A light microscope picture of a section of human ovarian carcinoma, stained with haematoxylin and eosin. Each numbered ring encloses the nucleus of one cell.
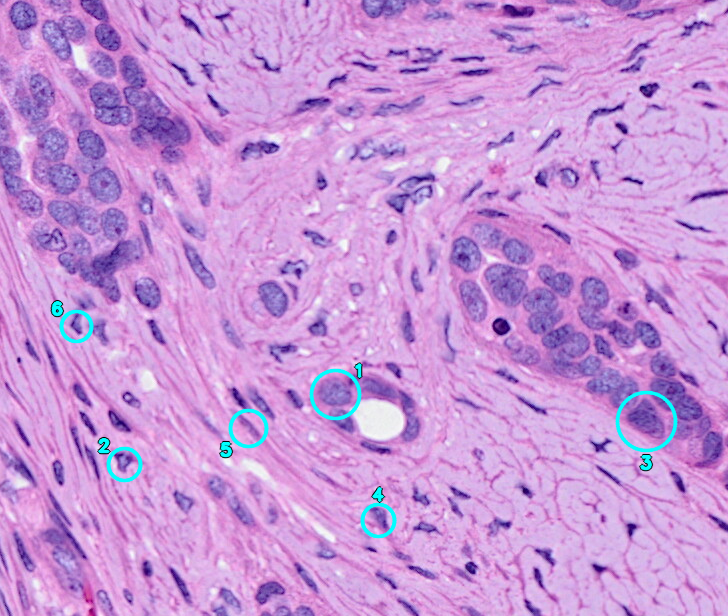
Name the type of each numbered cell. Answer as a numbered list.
1. carcinoma cell
2. fibroblast
3. carcinoma cell
4. fibroblast
5. fibroblast
6. fibroblast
